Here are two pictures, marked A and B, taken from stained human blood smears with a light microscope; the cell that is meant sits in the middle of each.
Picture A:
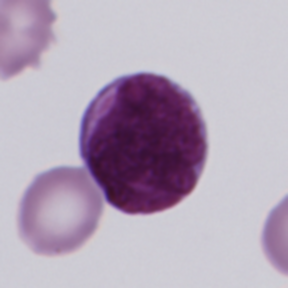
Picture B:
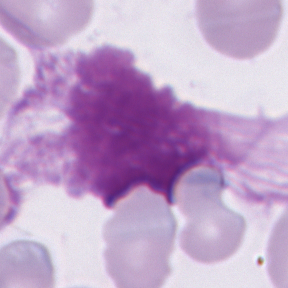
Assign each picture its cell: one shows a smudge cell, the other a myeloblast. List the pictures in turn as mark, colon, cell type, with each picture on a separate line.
A: myeloblast
B: smudge cell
